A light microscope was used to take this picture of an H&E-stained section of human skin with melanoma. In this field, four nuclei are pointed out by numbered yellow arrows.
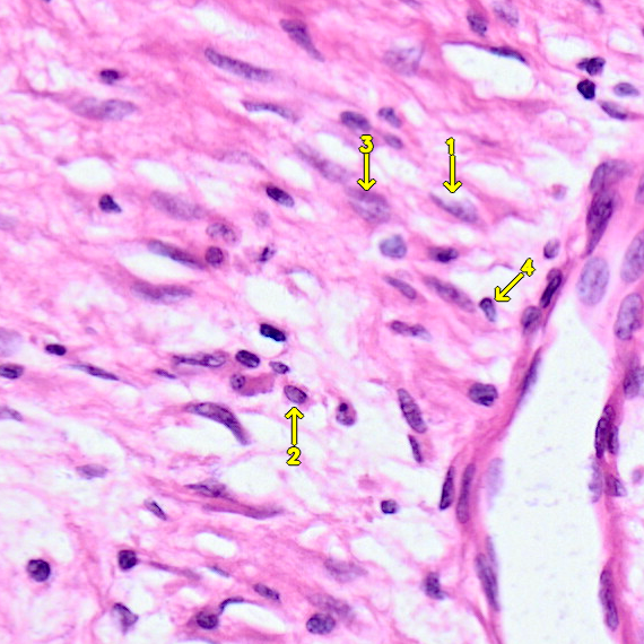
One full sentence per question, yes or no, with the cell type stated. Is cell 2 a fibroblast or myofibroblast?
No, a macrophage or monocyte is what cell 2 is, not a fibroblast or myofibroblast.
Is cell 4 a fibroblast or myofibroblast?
No, cell 4 is to be read as a lymphocyte, not a fibroblast or myofibroblast.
